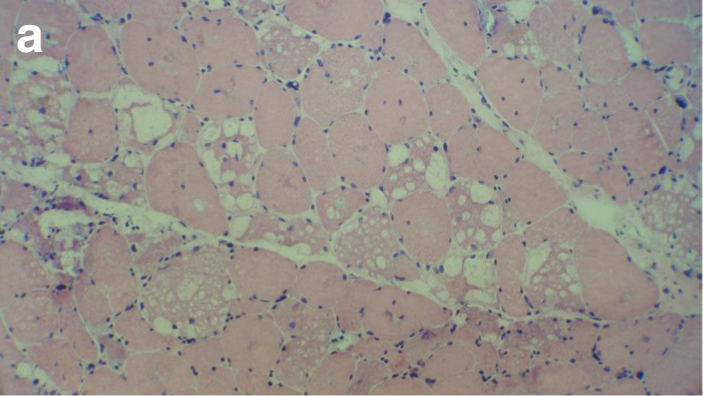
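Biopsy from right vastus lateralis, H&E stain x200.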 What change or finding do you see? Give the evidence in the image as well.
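Many fibers contain multiple clear, rounded holes. The holes range from small to large within and between fibers. Some holes lie at the fiber edge, others in the fiber interior. On this evidence: variable-sized subsarcolemmal and cytoplasmic vacuoles.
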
